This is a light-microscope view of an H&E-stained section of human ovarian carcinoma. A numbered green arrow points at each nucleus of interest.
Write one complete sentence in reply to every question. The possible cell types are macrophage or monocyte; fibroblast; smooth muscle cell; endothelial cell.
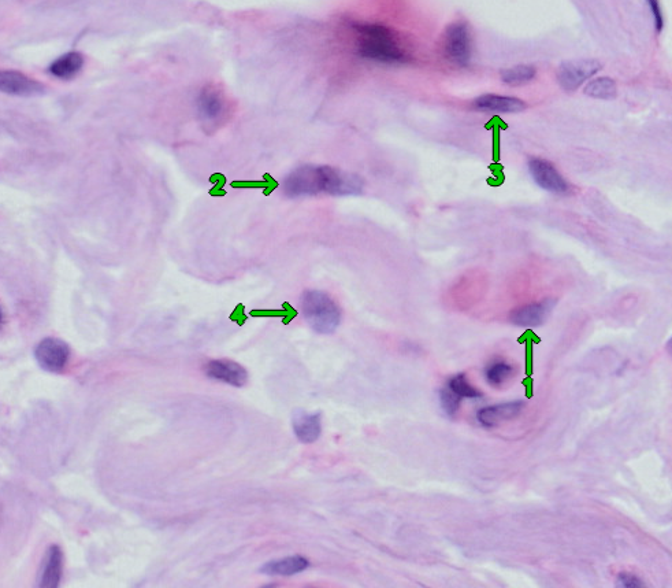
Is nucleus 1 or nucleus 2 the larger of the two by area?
Nucleus 2 covers more area, about 2.5 times as much as nucleus 1.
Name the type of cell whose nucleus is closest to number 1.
The cell nearest to number 1 is an endothelial cell.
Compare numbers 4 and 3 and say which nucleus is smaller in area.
The smaller nucleus is 3, and 4 covers roughly 2 times its area.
